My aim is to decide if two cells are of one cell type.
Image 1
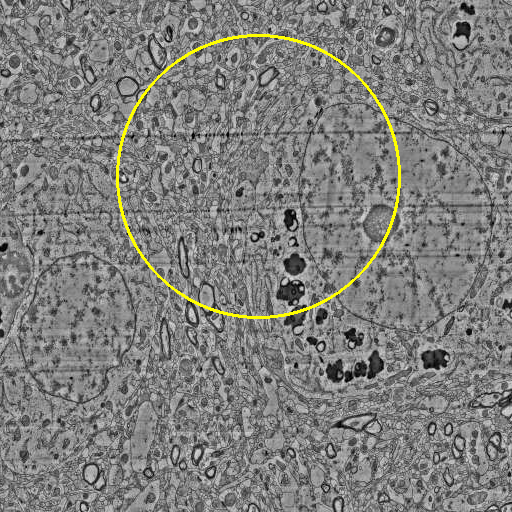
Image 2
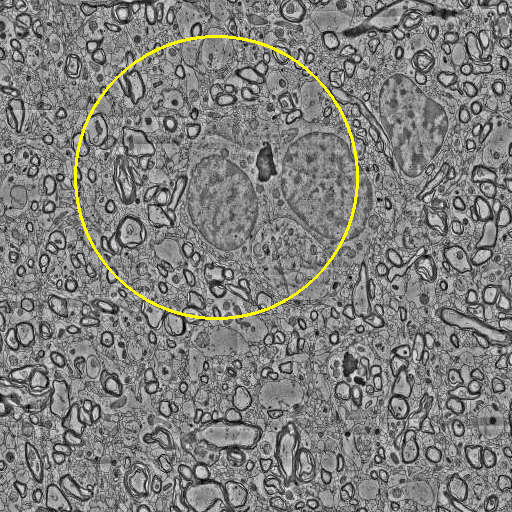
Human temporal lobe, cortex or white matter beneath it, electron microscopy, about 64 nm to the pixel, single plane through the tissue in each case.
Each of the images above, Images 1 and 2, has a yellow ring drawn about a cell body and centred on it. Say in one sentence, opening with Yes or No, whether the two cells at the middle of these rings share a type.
Yes, in Images 1 and 2 the cells at the middle of the rings share one type.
